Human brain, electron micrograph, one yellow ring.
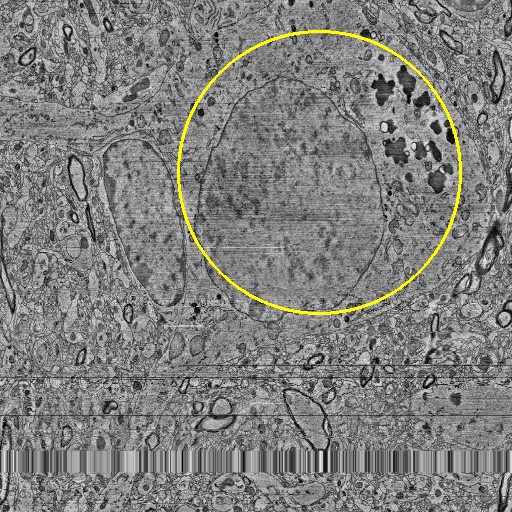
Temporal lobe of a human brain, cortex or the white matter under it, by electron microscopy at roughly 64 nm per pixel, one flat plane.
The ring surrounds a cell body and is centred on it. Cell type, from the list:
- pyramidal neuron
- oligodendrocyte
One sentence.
The yellow ring circles a pyramidal neuron.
